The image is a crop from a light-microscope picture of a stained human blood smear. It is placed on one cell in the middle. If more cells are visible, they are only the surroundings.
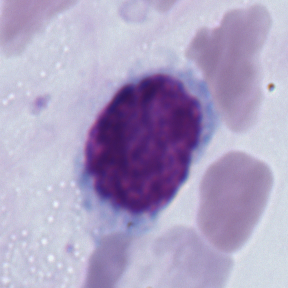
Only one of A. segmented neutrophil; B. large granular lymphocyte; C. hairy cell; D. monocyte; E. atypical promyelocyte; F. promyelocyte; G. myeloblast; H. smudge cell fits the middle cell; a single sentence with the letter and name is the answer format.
This one is option C, since the cell at the center is a hairy cell.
